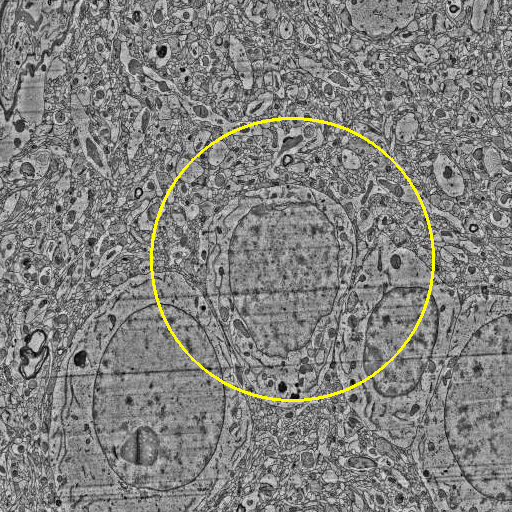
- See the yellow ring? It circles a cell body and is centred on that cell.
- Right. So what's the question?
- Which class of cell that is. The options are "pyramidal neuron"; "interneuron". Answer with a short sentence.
The centre of the ring holds an interneuron.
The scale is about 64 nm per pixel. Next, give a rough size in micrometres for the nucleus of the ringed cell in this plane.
In this plane the nucleus measures roughly 10 by 8 micrometres.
